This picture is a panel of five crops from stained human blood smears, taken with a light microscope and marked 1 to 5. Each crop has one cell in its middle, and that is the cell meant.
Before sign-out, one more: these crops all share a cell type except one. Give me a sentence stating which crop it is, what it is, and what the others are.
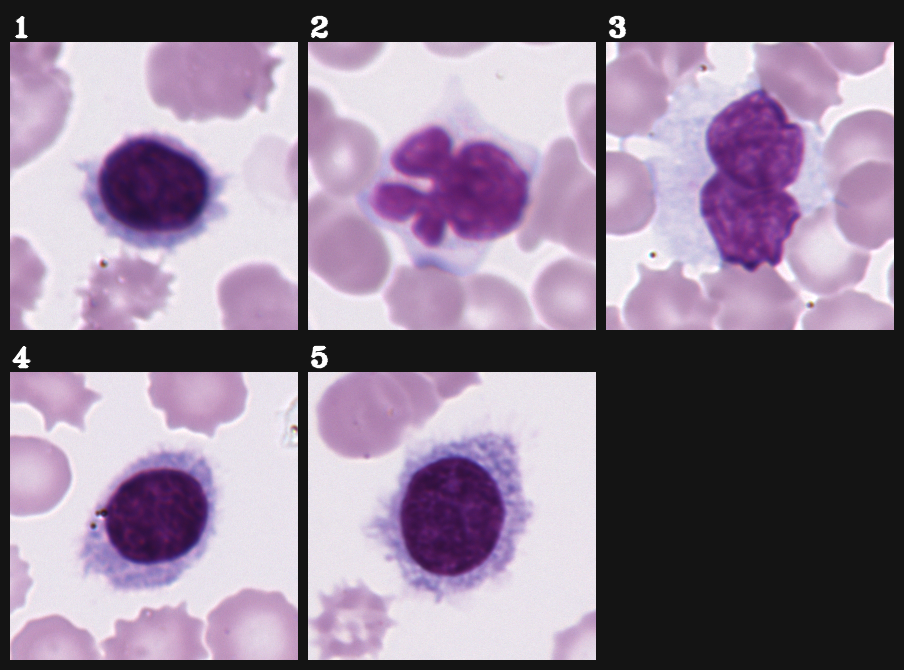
Found in all crops but one are hairy cells; the exception, crop 2, contains a large granular lymphocyte.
